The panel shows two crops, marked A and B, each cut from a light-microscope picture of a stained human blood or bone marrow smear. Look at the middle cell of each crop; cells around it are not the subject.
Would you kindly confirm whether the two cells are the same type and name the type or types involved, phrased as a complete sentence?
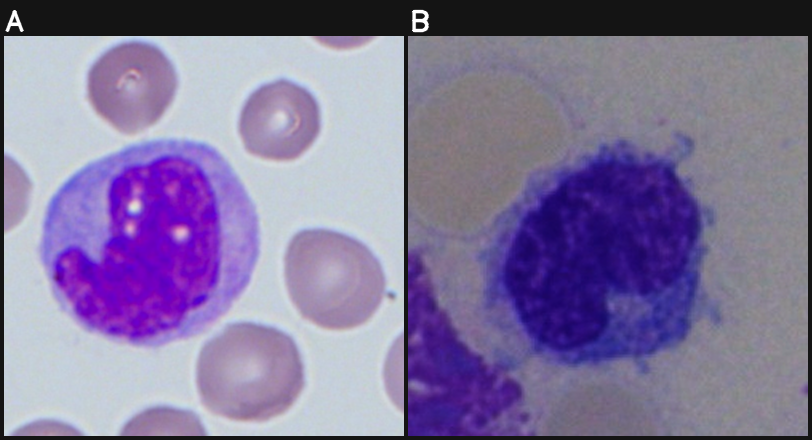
Yes, the crops both have monocytes in the middle.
